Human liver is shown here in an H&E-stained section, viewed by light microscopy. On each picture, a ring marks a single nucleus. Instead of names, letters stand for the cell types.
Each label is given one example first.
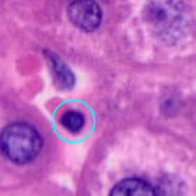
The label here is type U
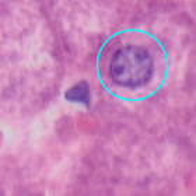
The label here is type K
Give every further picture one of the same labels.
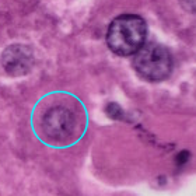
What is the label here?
type K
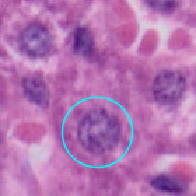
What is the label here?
type K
